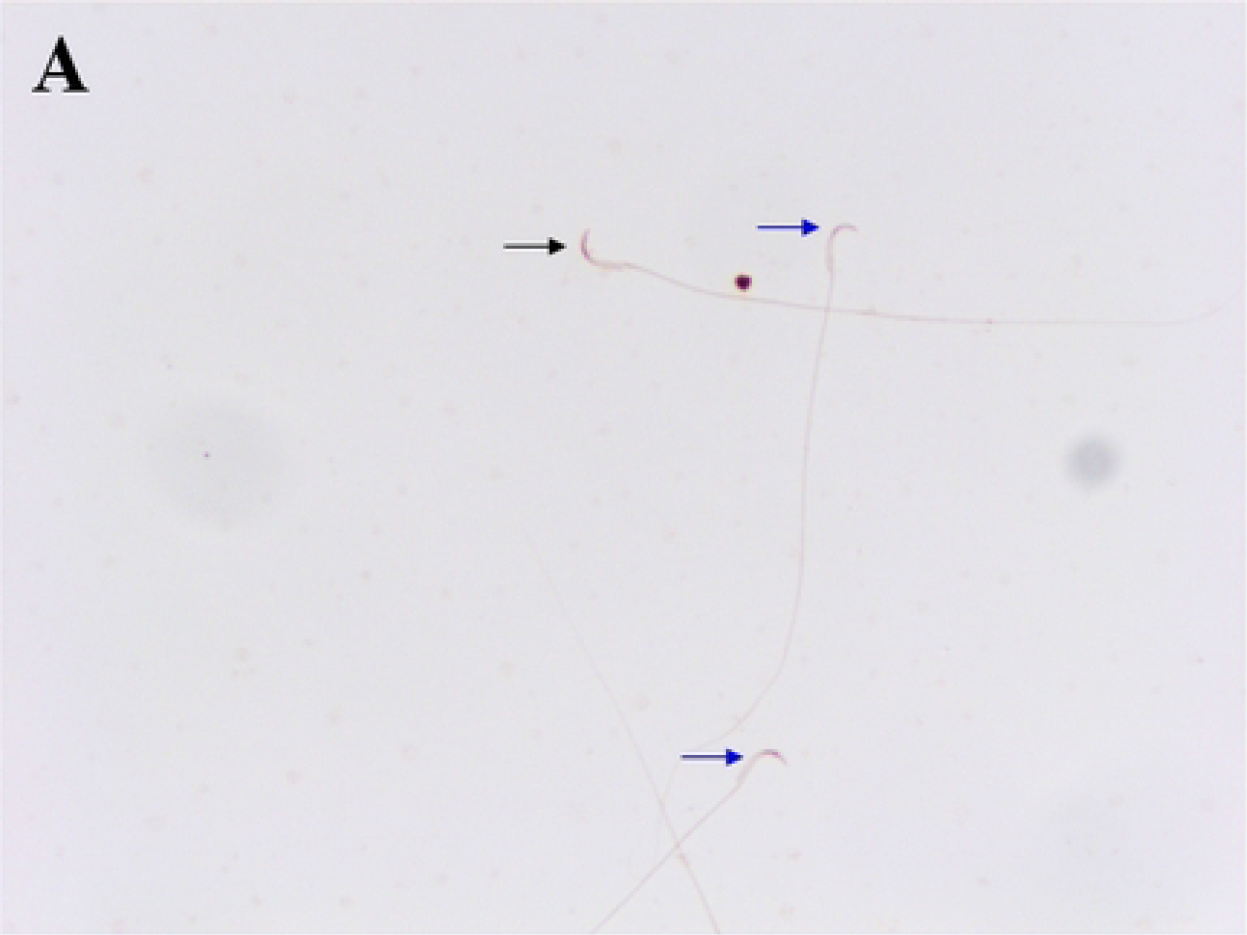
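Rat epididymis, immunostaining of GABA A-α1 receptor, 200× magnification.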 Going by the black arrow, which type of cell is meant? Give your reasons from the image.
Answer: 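The arrow points to a curved hook-shaped head. A long thin tail runs from the head to the right.
Answer: sperm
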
